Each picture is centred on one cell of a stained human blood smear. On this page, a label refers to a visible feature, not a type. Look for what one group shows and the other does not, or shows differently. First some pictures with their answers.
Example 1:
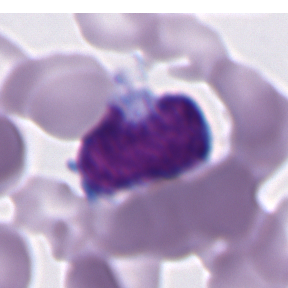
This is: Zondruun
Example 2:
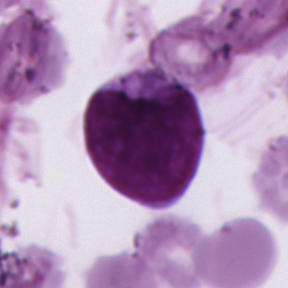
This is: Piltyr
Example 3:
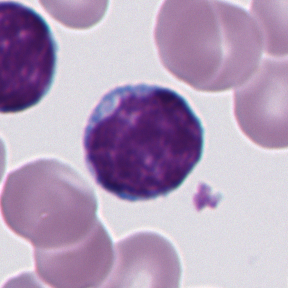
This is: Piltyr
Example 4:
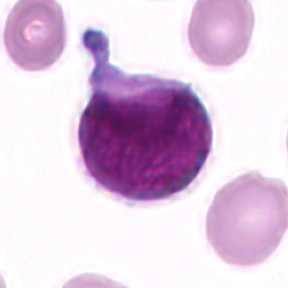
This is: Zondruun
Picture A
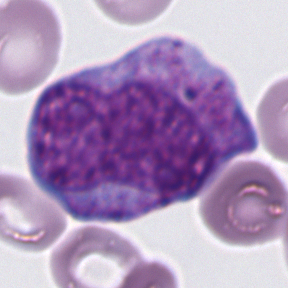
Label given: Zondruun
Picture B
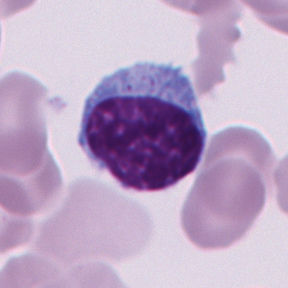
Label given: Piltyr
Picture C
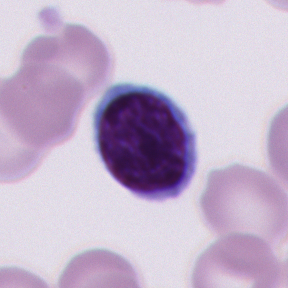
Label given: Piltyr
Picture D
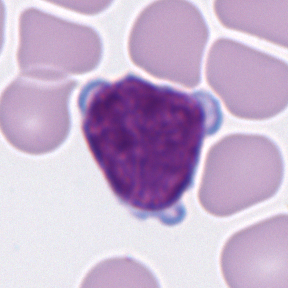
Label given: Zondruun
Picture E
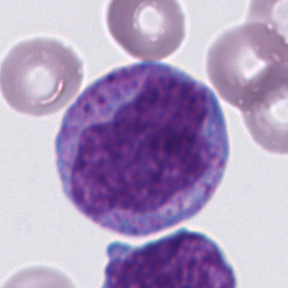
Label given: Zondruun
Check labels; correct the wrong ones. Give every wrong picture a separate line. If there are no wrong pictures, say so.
B: Zondruun, not Piltyr
E: Piltyr, not Zondruun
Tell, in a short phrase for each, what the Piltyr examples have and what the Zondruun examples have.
Seen in Piltyr: smooth outline; seen in Zondruun: ragged outline or projections.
